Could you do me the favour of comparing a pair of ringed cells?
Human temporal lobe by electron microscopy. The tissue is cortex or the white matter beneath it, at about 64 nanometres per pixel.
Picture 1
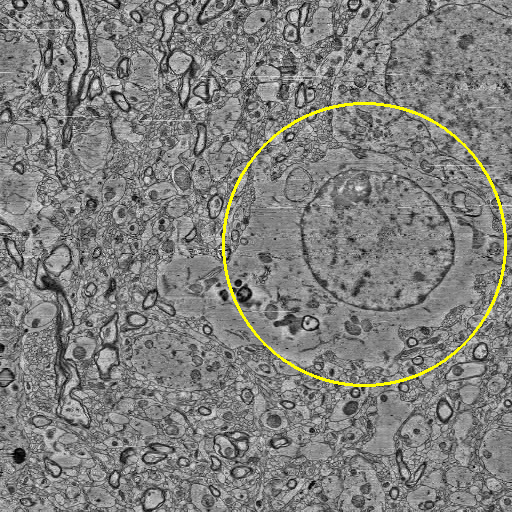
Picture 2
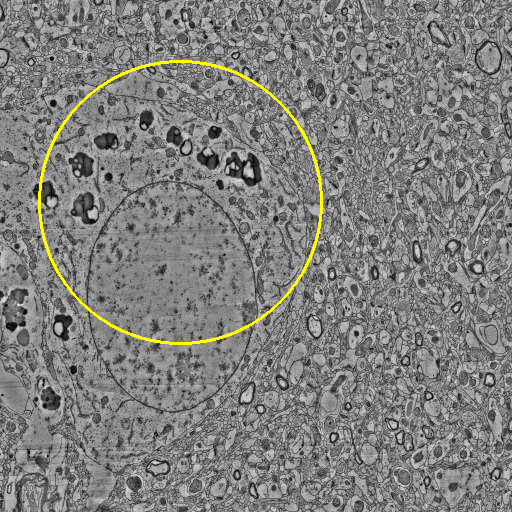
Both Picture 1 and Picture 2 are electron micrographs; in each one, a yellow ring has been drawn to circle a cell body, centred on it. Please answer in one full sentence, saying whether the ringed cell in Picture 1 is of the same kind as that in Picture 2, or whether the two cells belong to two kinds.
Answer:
The ringed cells in Picture 1 and Picture 2 belong to two kinds.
